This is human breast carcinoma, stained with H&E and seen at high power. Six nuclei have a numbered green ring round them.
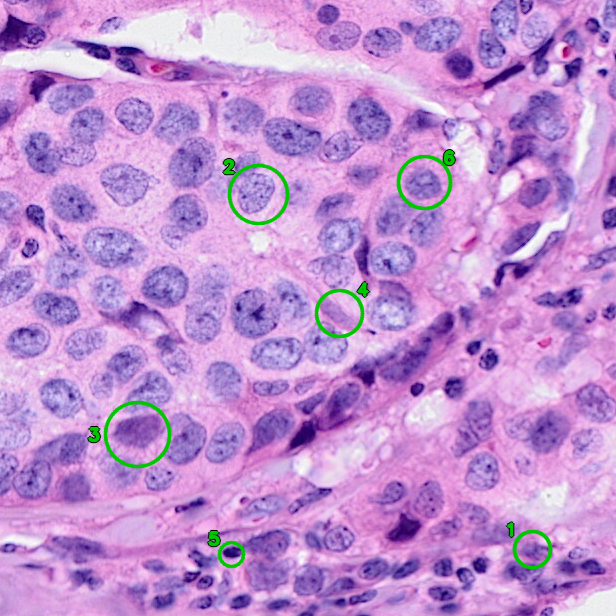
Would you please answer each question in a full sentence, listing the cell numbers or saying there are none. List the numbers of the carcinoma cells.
Marked by the numbers 2, 3, 4 and 6 are cells that are carcinoma cells.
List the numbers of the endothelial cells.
Exactly one numbered cell is an endothelial cell, and that cell is number 1.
